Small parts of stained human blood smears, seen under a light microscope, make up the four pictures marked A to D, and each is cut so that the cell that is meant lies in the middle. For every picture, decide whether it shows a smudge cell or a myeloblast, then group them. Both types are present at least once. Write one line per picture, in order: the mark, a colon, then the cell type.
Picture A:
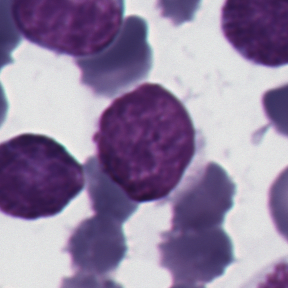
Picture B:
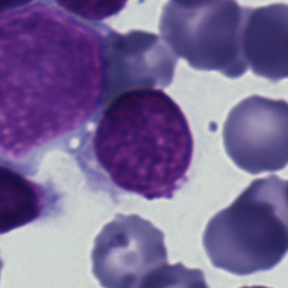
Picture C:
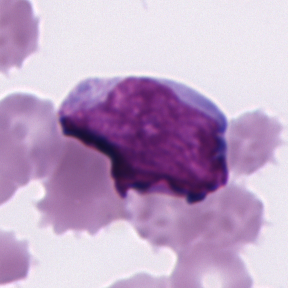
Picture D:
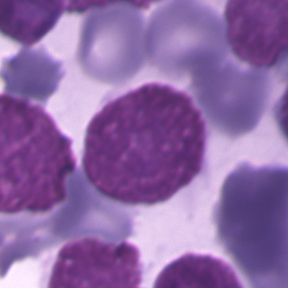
A: myeloblast
B: myeloblast
C: myeloblast
D: smudge cell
